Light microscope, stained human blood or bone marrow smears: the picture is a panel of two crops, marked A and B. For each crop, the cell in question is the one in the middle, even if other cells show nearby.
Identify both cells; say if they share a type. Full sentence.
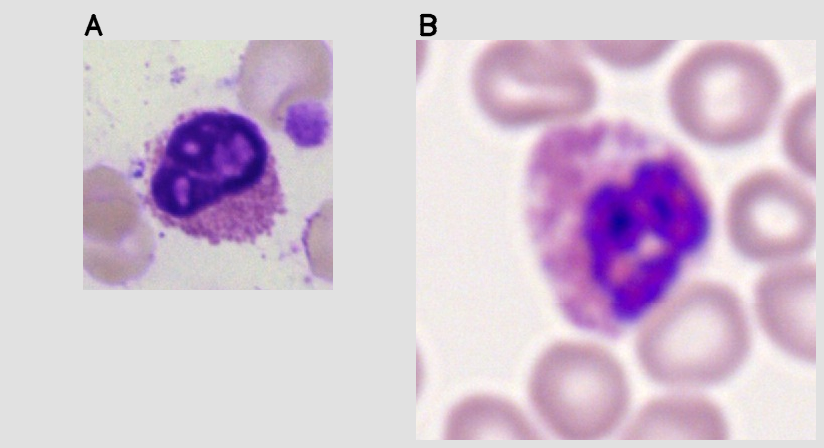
Yes, both crops show eosinophils, the one and the other.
